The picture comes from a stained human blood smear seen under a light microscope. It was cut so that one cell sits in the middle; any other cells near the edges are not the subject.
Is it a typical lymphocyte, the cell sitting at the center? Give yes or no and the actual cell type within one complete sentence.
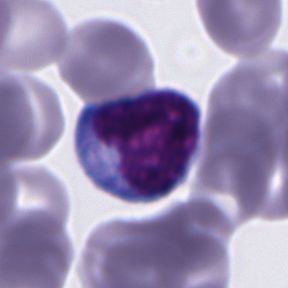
Yes, what sits in the centre of the crop is a typical lymphocyte.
